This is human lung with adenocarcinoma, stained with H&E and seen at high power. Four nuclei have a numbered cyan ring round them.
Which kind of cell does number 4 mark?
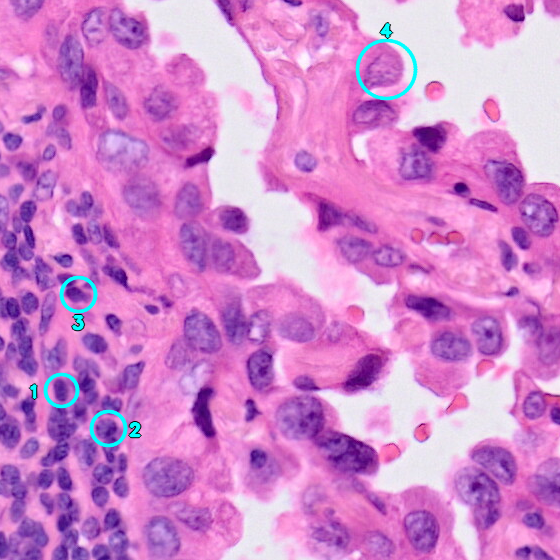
carcinoma cell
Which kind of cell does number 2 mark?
lymphocyte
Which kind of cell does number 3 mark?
lymphocyte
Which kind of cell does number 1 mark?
lymphocyte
